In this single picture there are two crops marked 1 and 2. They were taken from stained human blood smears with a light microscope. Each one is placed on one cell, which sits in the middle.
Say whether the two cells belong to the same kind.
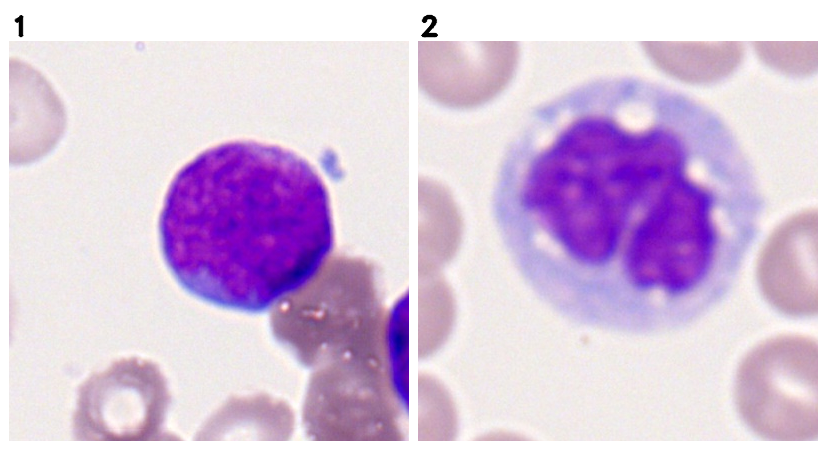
no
